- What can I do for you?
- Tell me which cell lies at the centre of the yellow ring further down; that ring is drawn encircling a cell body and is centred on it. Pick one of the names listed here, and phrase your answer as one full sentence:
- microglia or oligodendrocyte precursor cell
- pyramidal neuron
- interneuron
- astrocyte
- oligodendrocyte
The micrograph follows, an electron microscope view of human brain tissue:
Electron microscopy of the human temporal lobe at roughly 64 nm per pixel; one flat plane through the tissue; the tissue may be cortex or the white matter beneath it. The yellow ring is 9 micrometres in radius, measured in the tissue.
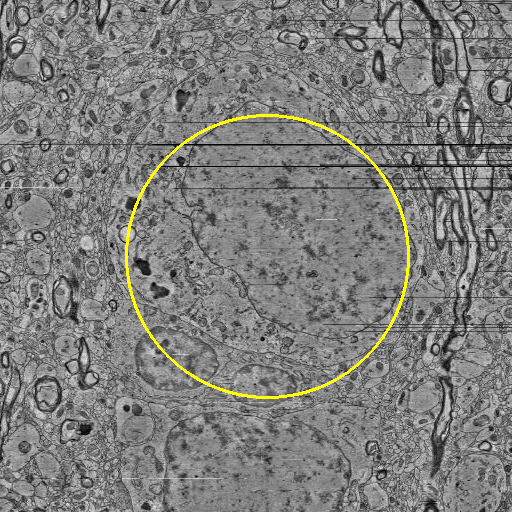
The cell whose body lies at the centre of the yellow ring is a pyramidal neuron.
